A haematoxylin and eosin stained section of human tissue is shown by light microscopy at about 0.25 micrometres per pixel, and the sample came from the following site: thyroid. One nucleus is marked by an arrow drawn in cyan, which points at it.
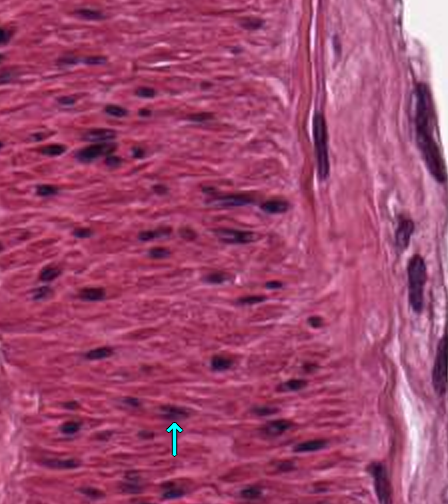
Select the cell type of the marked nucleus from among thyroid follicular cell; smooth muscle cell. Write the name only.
smooth muscle cell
